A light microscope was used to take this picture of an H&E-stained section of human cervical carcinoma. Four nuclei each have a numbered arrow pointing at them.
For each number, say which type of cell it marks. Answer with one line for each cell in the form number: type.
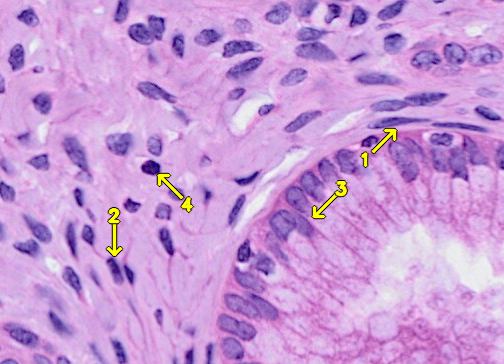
1: fibroblast
2: fibroblast
3: secretory epithelial cell
4: lymphocyte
